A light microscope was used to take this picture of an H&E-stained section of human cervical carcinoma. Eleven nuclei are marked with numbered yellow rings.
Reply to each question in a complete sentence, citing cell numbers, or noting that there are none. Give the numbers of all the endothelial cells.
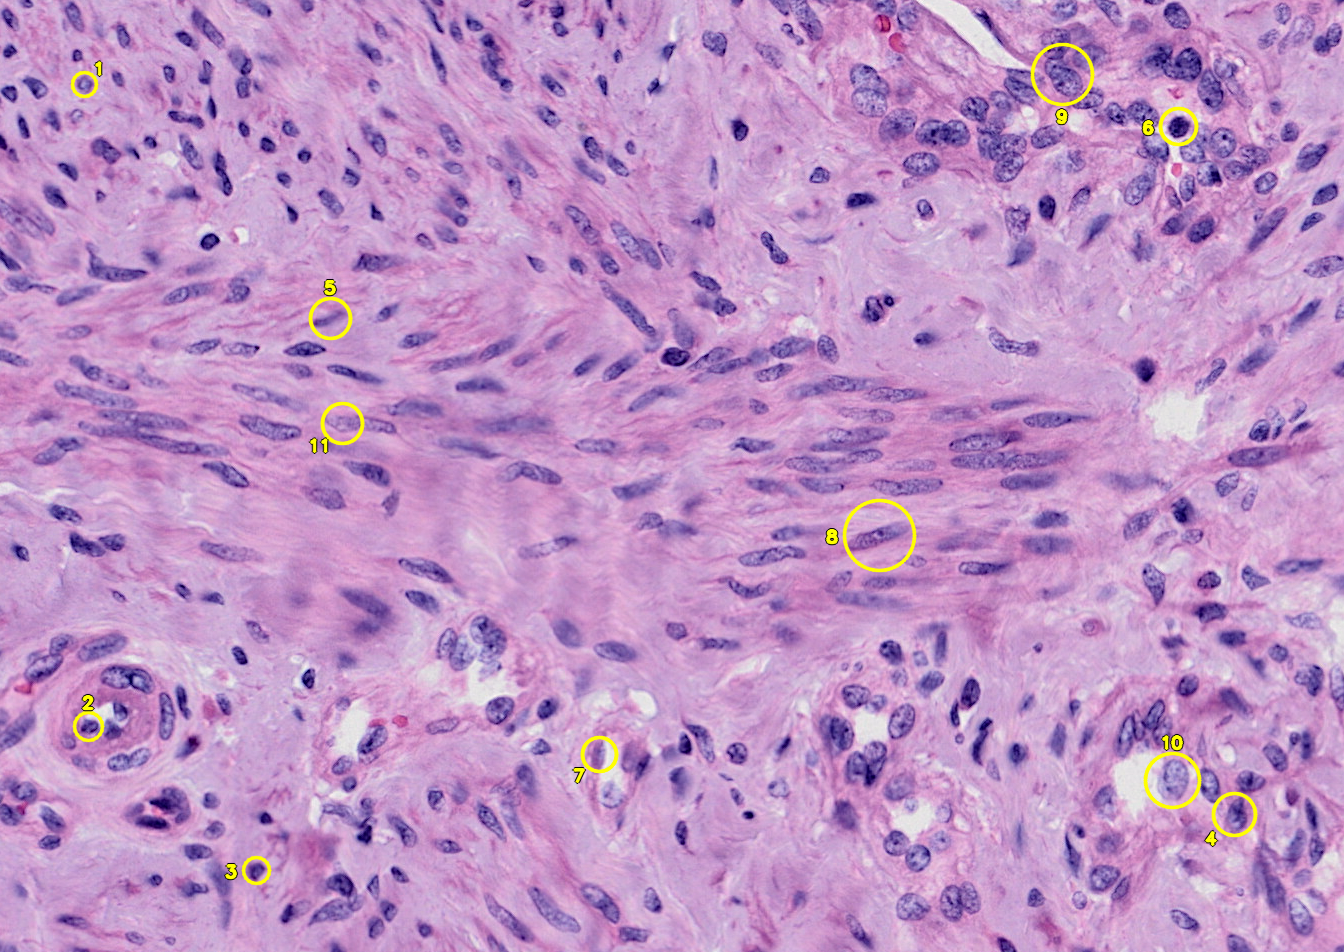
The cells picked out by numbers 2, 4, 7, 9 and 10 are endothelial cells.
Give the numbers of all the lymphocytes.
Only number 6 of the marked cells is a lymphocyte.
